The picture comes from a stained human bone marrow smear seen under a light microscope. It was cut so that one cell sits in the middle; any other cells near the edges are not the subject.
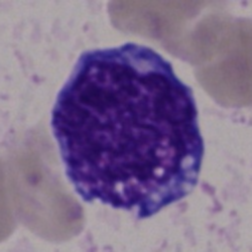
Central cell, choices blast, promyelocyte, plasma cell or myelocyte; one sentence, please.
In short, the cell at the center is a promyelocyte.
